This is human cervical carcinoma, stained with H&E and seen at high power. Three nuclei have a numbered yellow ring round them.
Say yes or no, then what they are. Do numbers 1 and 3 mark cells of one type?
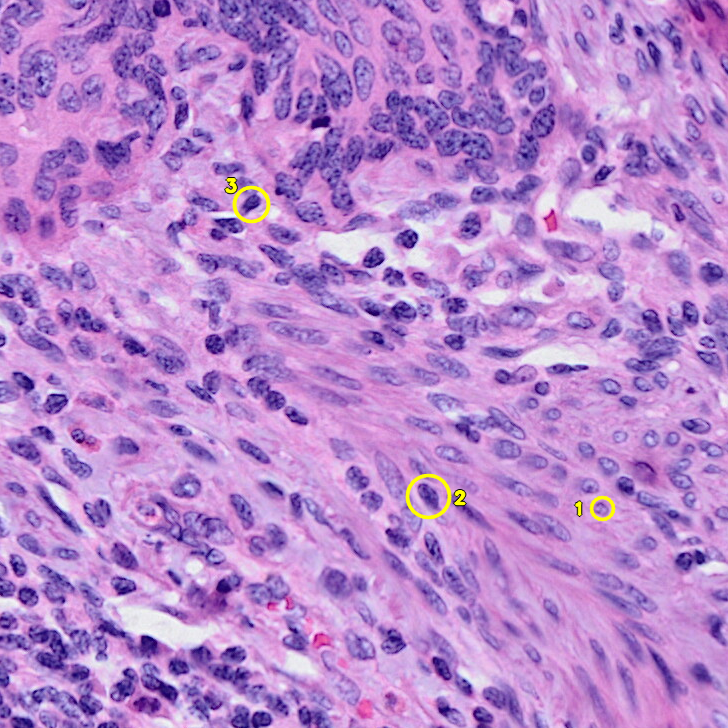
No, cell 1 is a smooth muscle cell and cell 3 is a lymphocyte.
